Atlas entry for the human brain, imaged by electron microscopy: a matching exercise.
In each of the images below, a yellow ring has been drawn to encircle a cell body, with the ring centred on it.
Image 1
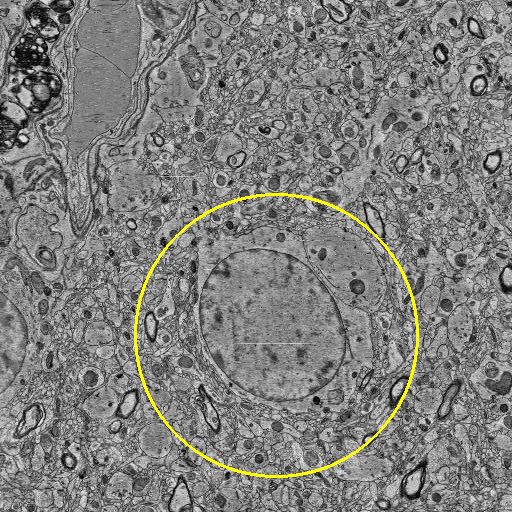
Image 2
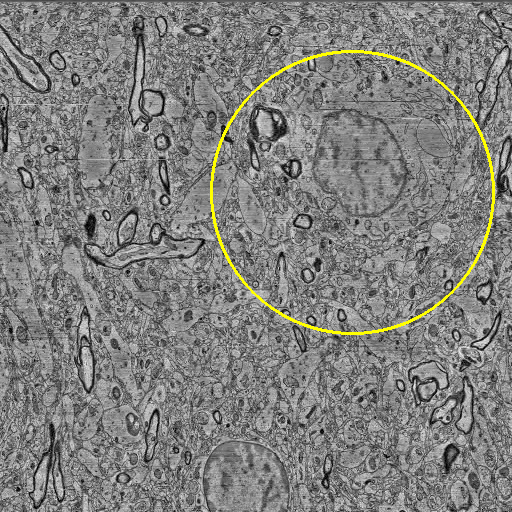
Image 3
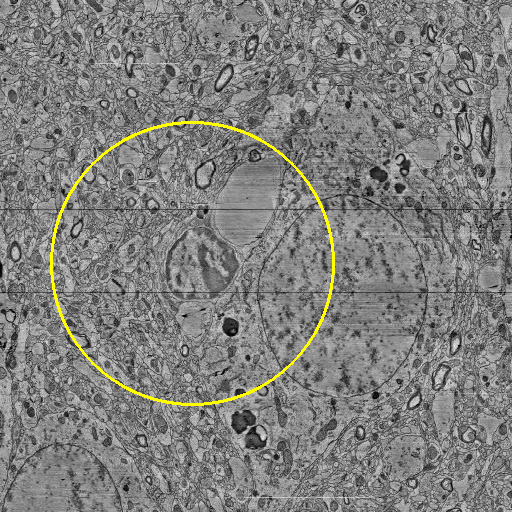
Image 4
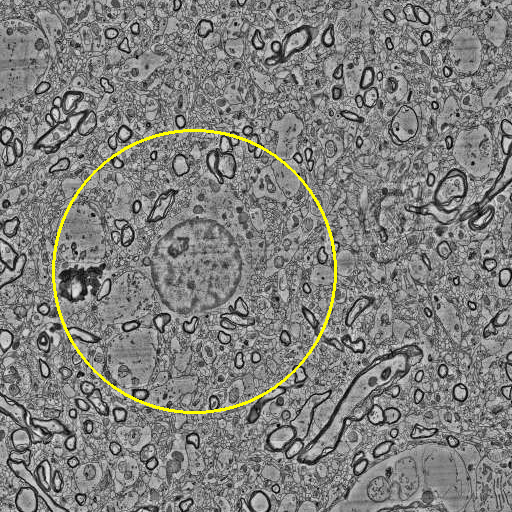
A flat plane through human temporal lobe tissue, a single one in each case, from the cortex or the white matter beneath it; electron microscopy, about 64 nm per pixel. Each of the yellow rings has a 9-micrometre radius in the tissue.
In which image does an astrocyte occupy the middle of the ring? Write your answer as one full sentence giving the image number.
In image 1, the ring is centred on the cell in question.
